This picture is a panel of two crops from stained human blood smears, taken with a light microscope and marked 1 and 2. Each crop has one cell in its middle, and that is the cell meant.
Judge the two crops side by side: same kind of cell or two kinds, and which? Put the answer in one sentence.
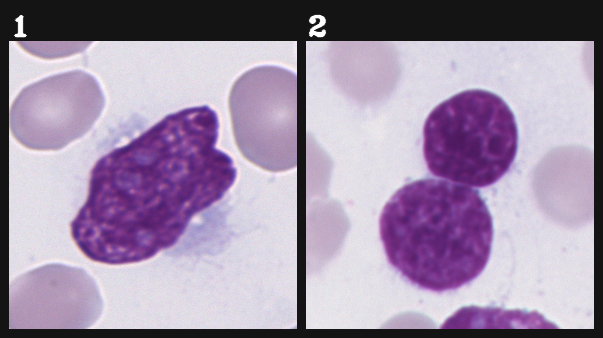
Yes, both of the crops show myeloblasts.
